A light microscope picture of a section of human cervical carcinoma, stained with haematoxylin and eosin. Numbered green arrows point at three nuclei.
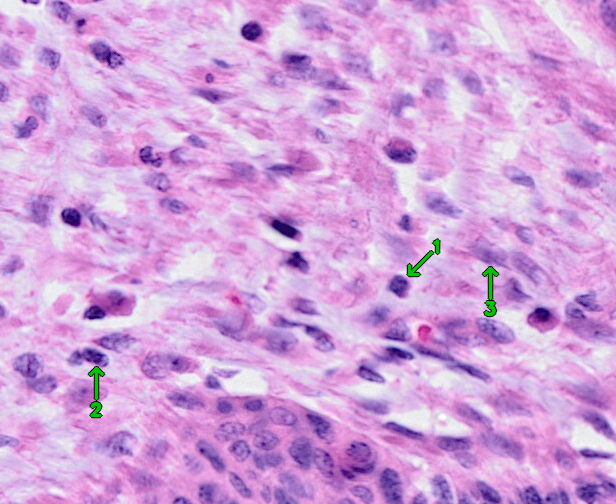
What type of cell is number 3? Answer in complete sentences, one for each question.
The cell tagged with 3 in this tissue section is a fibroblast.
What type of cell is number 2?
The marked nucleus 2 is that of a lymphocyte.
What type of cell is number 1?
Cell number 1 in this section is a lymphocyte.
